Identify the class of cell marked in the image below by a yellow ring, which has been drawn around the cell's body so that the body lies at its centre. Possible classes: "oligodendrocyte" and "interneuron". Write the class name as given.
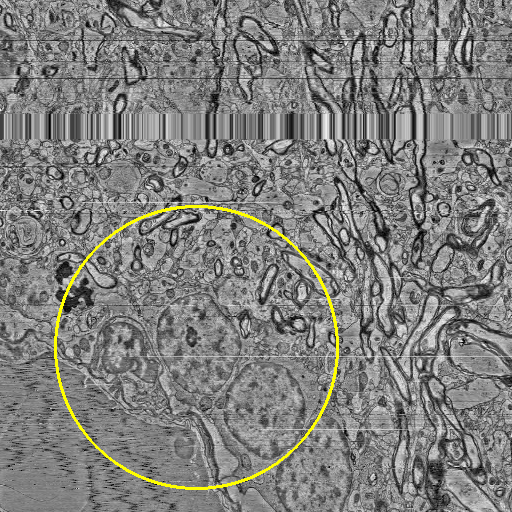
oligodendrocyte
